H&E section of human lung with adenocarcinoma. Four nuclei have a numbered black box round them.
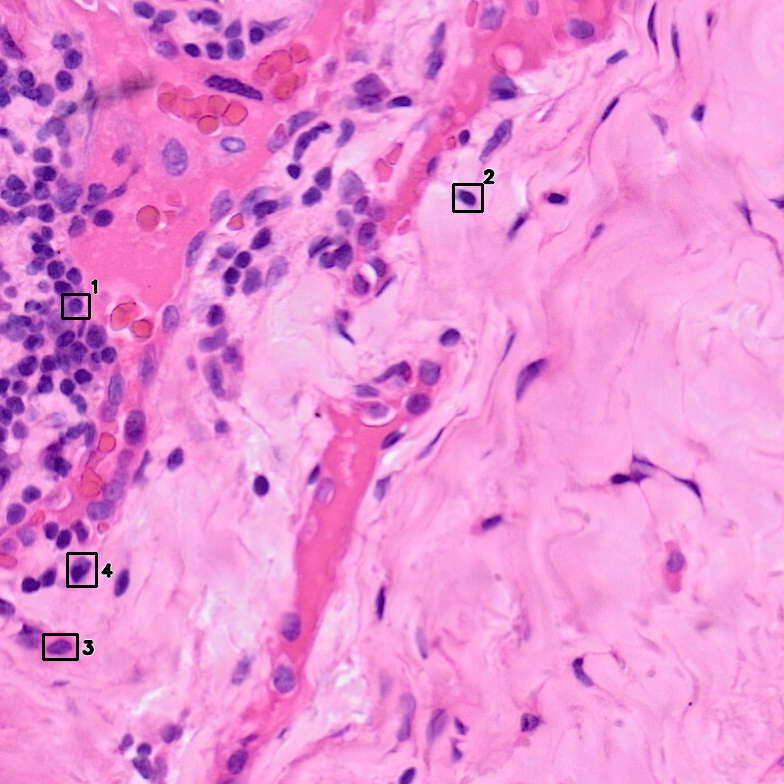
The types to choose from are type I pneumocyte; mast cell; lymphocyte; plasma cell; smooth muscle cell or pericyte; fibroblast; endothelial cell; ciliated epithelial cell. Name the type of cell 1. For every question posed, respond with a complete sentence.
Numbered cell 1 is a lymphocyte in this tissue section.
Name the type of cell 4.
The cell marked with the number 4 is a lymphocyte.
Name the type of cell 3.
The cell pointed out by number 3 is a mast cell.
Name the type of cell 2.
The cell marked with the number 2 is a lymphocyte.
